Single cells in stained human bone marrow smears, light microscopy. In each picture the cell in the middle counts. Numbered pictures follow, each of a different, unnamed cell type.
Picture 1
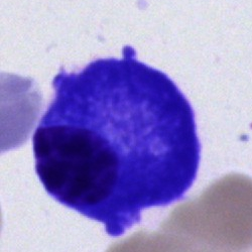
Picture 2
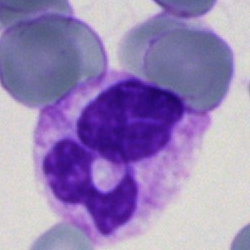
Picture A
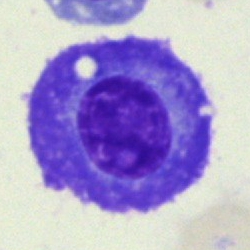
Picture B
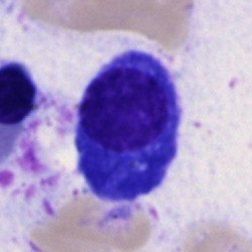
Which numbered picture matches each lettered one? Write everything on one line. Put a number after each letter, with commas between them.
A 1, B 1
